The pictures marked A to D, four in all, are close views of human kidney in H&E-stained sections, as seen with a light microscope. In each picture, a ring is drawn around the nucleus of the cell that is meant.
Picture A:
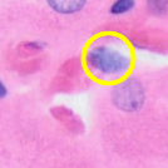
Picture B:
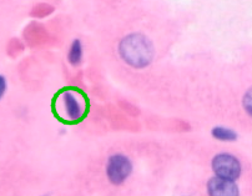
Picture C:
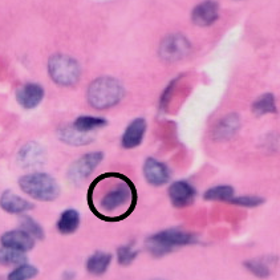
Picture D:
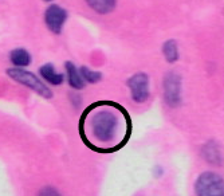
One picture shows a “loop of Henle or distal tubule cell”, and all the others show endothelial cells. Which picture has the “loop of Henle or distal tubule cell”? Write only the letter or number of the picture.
D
